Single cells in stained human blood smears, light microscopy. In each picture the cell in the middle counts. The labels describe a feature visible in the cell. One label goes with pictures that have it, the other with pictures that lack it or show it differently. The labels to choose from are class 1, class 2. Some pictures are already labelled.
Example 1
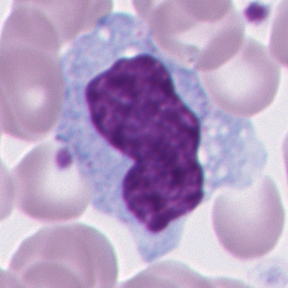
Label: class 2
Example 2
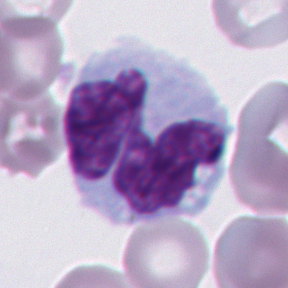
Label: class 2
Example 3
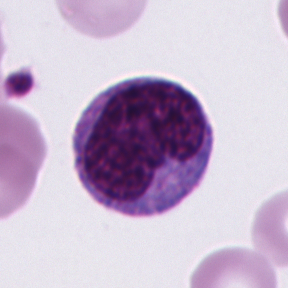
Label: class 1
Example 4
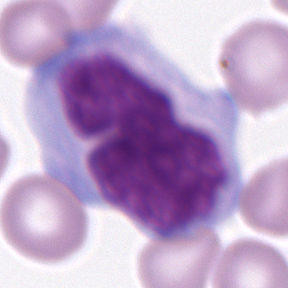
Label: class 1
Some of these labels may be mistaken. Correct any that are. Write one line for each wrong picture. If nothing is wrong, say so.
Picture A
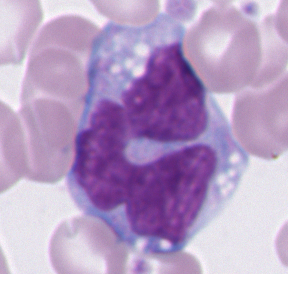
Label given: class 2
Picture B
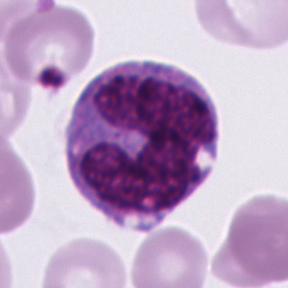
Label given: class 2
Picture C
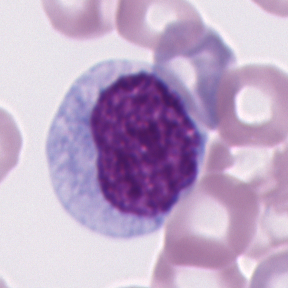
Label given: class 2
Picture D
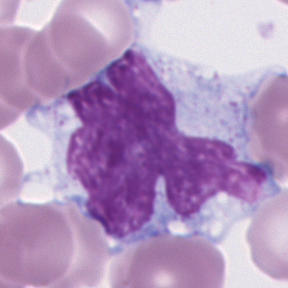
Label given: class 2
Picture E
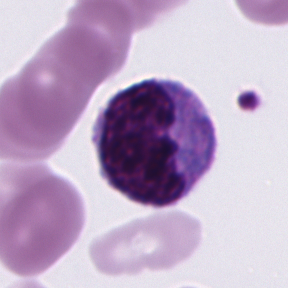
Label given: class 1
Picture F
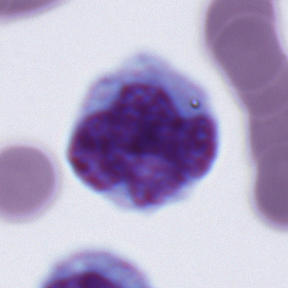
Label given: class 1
C: not class 2 but class 1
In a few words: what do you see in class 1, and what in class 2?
Seen in class 1: no vacuoles; seen in class 2: vacuoles present.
